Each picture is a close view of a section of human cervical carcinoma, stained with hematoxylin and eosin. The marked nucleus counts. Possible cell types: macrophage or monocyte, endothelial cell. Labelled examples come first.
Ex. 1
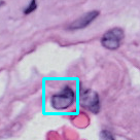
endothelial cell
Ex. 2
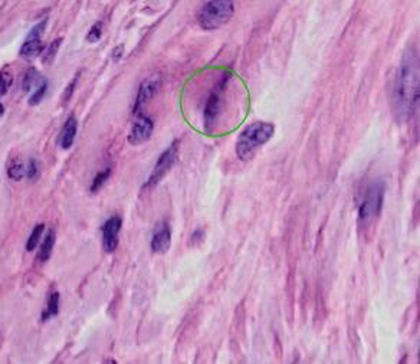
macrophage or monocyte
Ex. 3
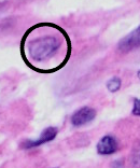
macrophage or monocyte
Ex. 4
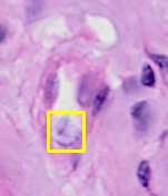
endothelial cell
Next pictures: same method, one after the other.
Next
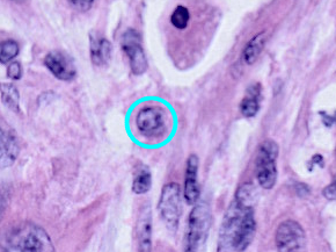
macrophage or monocyte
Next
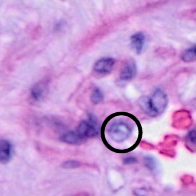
endothelial cell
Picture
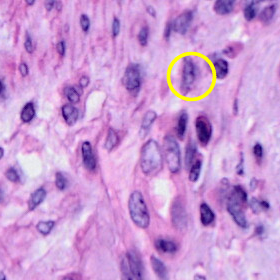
macrophage or monocyte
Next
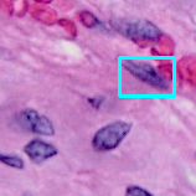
endothelial cell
